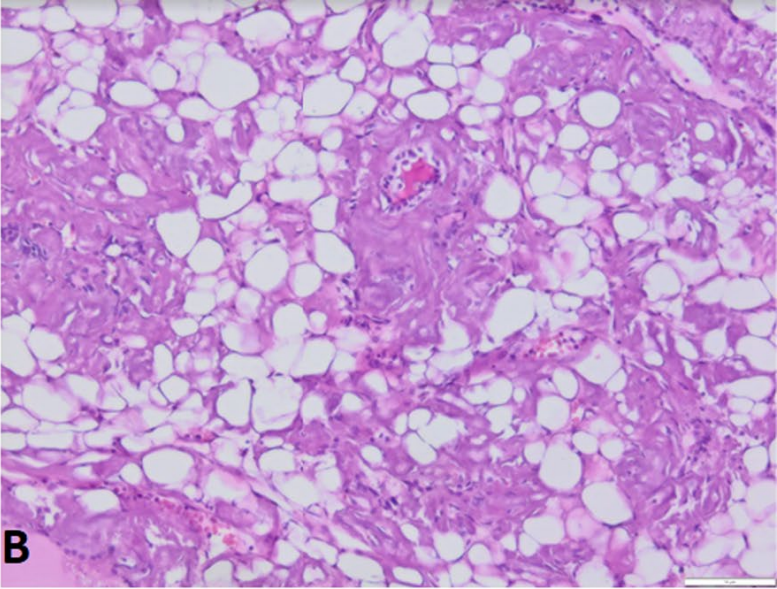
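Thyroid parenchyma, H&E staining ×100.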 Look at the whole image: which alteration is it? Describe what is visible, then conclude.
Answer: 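Amyloid deposit. Abundant pale pink, amorphous, glassy material fills the space between the fat cells. The pink material holds few nuclei. The pink material surrounds a small blood vessel.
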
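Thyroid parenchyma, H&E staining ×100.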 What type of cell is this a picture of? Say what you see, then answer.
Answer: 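Many round to polygonal empty-looking clear spaces of varying size. Thin membranes separate the clear spaces. The clear spaces lie in clusters within pink material.
Conclusion: mature adipocytes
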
